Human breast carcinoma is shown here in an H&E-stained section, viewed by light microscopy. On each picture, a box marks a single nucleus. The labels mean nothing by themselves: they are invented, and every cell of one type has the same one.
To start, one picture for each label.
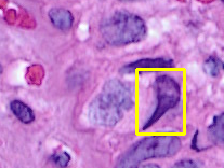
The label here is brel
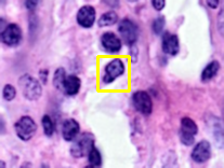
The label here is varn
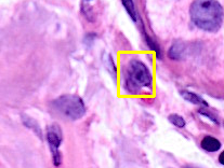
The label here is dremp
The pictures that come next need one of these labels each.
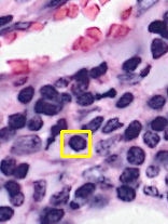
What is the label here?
varn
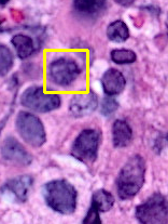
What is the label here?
brel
